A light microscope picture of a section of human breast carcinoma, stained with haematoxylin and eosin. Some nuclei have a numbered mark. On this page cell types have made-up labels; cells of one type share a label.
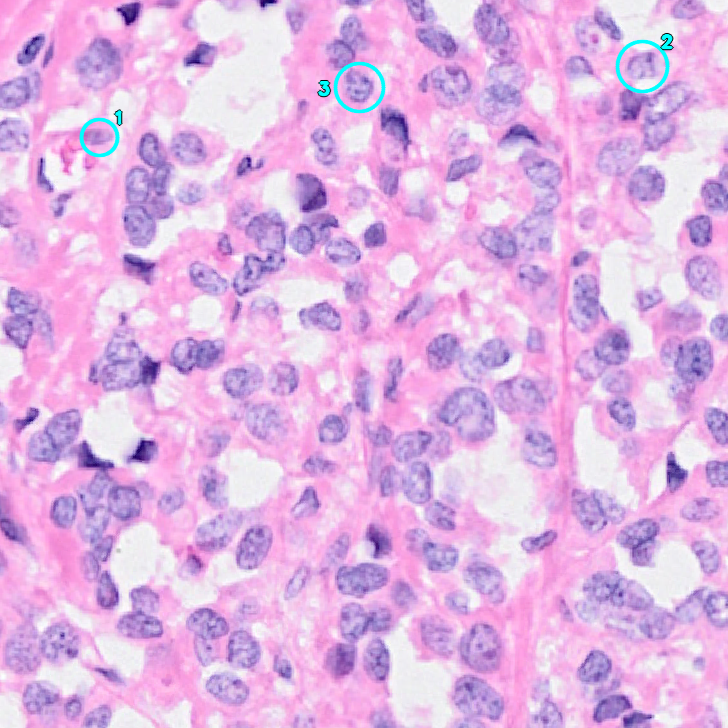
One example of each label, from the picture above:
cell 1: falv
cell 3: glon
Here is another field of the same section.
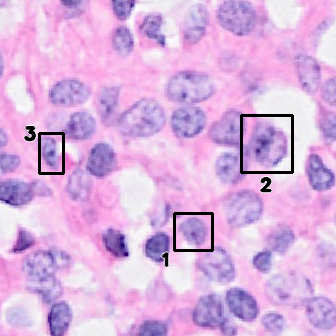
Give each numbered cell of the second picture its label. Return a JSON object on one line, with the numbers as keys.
{"1": "glon", "2": "glon", "3": "falv"}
